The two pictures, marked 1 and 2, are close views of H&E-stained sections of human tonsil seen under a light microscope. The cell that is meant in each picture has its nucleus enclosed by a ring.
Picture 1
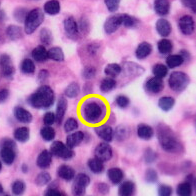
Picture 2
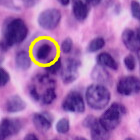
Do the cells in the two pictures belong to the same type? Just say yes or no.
no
